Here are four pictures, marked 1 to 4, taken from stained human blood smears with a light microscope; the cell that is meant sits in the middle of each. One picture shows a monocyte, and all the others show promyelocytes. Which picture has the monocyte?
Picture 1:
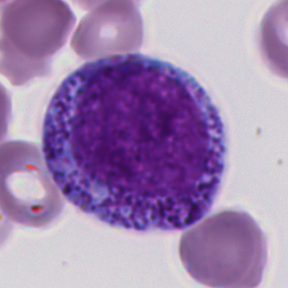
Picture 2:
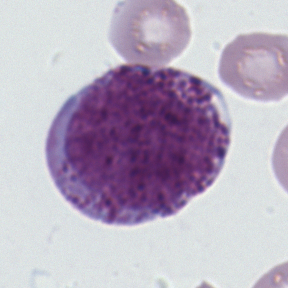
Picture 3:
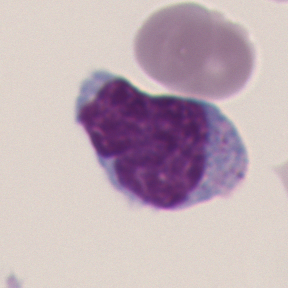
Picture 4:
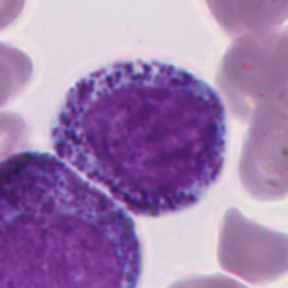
3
